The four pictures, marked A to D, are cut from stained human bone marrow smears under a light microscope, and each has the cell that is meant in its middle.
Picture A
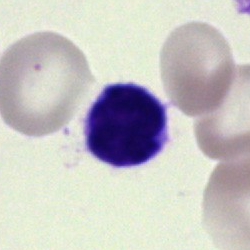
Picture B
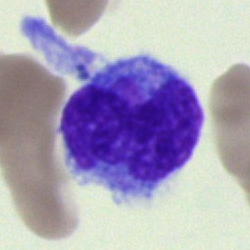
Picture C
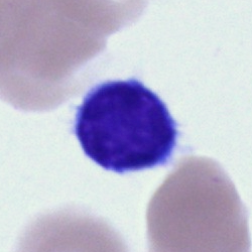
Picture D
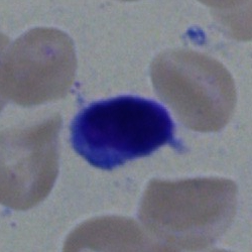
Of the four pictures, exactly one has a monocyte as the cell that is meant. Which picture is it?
B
